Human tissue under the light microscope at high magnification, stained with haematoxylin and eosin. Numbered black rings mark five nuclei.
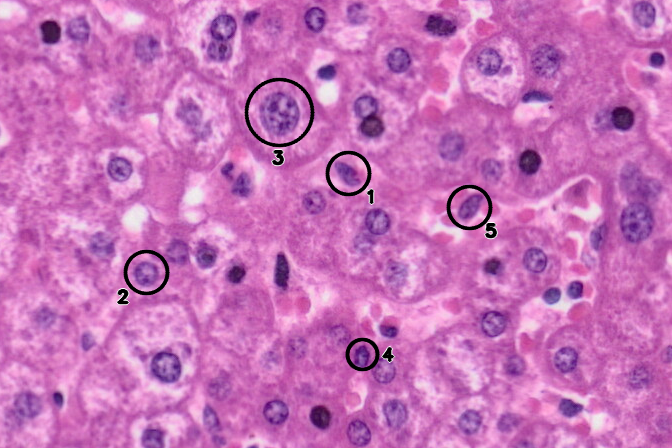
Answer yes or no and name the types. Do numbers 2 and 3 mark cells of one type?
Yes, cells 2 and 3 both fall under hepatocytes.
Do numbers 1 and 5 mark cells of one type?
Yes, going by number, cells 1 and 5 are both Kupffer cells.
